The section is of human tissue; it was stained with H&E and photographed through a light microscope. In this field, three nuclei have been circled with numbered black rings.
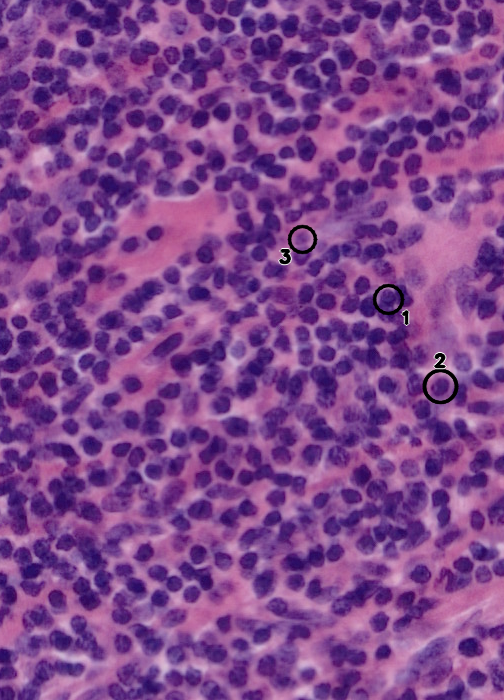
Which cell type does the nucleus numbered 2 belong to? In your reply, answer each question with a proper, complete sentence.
The cell numbered 2 has been identified as a plasma cell.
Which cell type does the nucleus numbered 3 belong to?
At number 3, the marked cell is an endothelial cell.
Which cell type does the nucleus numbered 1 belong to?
The correct answer for cell 1 is a small lymphocyte.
